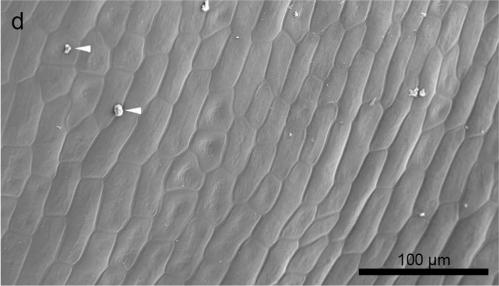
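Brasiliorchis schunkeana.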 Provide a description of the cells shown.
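The epidermal cells are flat and polygonal, lying side by side in rows, and they become more elongated toward one side of the field. Their boundaries appear as fine grooves, and the cell surfaces are slightly domed without any outgrowths. A few small granular deposits rest on the surface.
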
